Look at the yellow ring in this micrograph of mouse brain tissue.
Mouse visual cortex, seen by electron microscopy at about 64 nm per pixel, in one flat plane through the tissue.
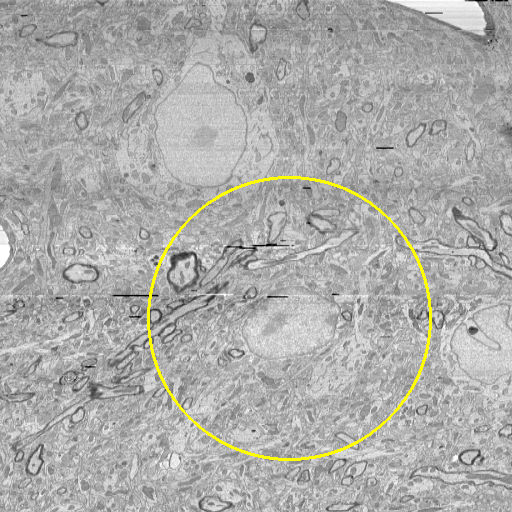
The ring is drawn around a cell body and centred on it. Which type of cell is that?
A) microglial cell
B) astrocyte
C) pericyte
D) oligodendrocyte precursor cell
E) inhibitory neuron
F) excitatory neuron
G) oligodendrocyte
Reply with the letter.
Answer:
B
